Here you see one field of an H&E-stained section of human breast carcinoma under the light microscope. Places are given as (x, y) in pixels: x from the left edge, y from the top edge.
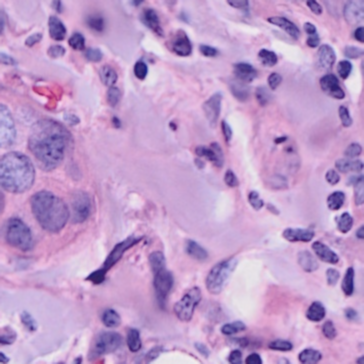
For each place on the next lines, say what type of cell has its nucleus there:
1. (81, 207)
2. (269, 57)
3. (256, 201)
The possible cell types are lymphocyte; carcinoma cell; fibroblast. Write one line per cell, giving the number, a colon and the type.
1: carcinoma cell
2: lymphocyte
3: lymphocyte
